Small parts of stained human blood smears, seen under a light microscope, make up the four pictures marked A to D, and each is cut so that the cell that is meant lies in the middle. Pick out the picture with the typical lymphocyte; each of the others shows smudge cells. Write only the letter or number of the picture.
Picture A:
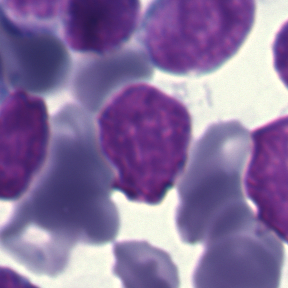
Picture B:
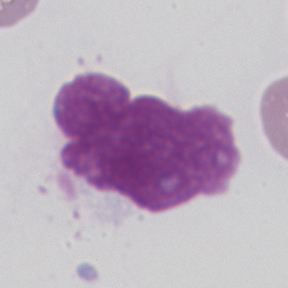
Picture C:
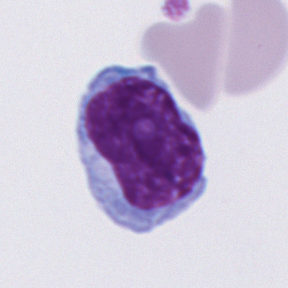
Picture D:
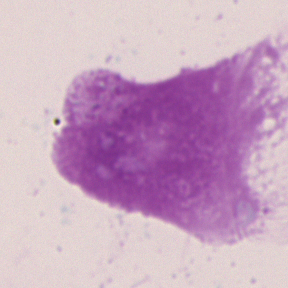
C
